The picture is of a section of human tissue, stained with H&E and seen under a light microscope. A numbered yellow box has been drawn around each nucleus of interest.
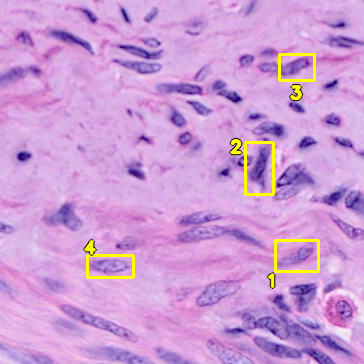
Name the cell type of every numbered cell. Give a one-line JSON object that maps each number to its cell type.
{"1": "smooth muscle cell", "2": "fibroblast", "3": "smooth muscle cell", "4": "smooth muscle cell"}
